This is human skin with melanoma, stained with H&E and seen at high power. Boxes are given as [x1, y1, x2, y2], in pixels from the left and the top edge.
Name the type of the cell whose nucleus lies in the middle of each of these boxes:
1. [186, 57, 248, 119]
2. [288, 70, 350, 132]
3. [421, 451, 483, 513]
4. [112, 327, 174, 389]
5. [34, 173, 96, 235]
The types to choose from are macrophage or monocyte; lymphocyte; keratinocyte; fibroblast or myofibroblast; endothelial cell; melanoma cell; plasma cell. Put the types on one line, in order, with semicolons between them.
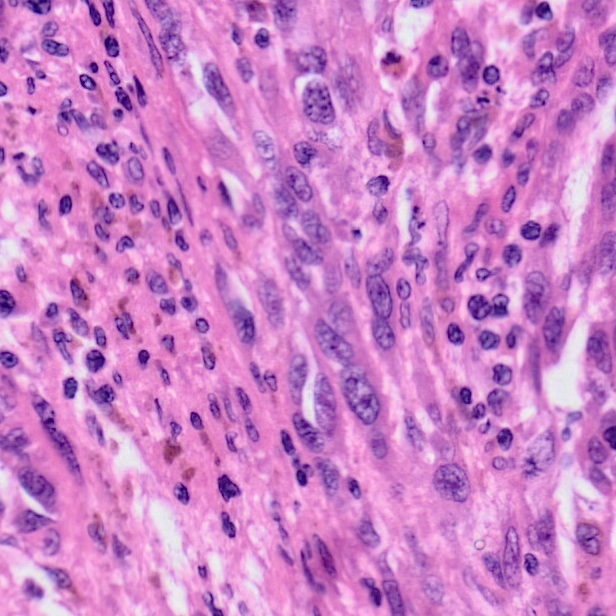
melanoma cell; melanoma cell; melanoma cell; lymphocyte; lymphocyte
